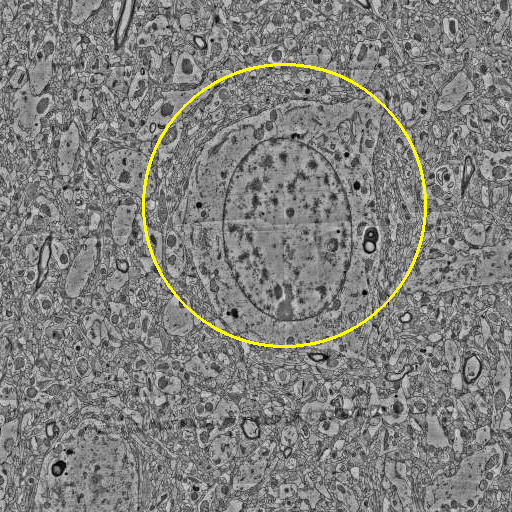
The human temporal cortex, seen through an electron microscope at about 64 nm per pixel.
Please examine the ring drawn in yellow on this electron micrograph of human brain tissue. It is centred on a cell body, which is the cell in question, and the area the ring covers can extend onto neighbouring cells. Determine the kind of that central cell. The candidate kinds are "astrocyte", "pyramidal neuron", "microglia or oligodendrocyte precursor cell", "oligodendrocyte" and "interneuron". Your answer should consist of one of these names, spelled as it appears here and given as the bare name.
pyramidal neuron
